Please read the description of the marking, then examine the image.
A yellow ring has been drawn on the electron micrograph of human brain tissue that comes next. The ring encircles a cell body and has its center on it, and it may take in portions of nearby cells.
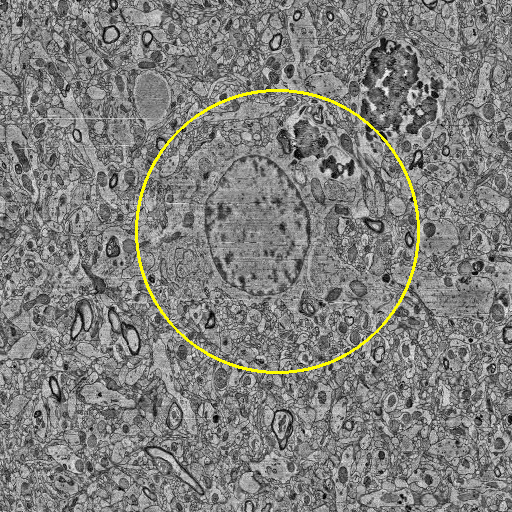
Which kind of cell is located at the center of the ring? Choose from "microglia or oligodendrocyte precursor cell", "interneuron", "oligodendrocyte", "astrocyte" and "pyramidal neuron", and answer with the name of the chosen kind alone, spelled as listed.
astrocyte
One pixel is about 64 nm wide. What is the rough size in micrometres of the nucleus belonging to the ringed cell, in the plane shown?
Approximately 9 by 7 micrometers in this plane.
